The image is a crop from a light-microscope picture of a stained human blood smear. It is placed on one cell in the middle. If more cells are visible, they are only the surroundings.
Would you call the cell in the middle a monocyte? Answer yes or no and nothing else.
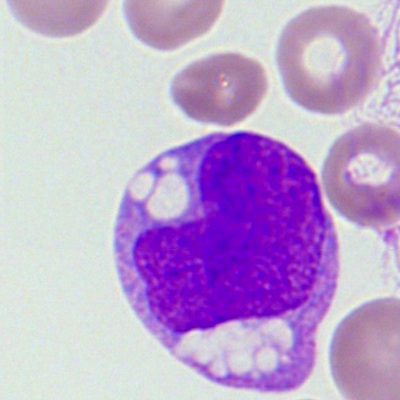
yes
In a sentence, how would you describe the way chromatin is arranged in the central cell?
Heads up, the chromatin is fine with no coarse clumps in it.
